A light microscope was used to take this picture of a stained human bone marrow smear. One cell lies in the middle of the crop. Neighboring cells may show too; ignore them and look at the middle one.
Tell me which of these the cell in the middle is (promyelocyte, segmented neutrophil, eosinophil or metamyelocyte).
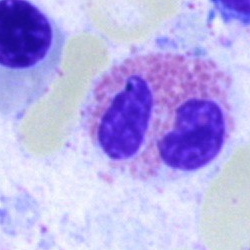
eosinophil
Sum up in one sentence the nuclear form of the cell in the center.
What stands out is the nucleus, split into two or more lobes.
